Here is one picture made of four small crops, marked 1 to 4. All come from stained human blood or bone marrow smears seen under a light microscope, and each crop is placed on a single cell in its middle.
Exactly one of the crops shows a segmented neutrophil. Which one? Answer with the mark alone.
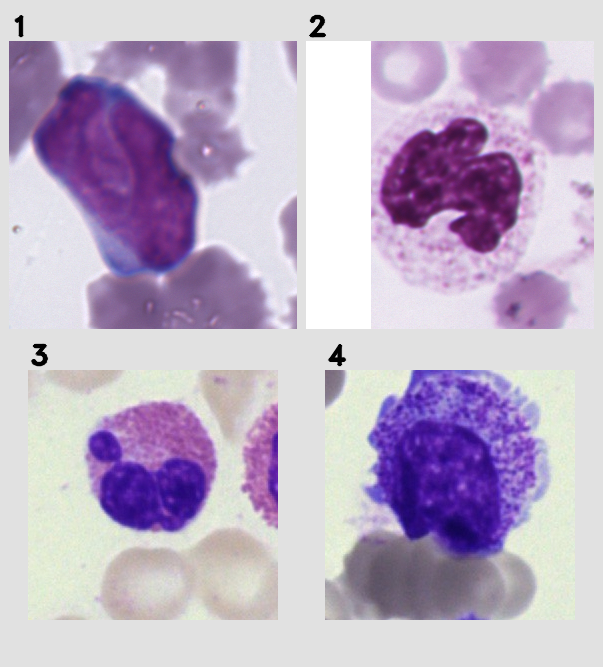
2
